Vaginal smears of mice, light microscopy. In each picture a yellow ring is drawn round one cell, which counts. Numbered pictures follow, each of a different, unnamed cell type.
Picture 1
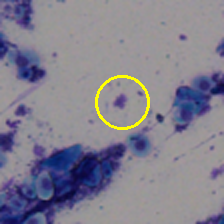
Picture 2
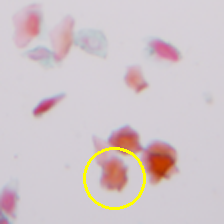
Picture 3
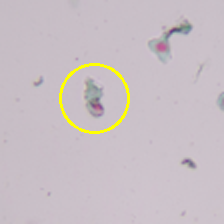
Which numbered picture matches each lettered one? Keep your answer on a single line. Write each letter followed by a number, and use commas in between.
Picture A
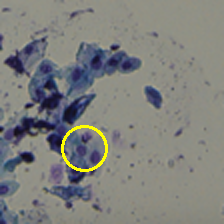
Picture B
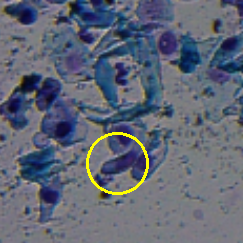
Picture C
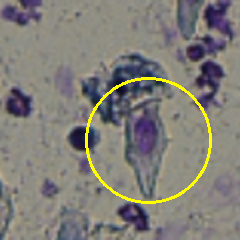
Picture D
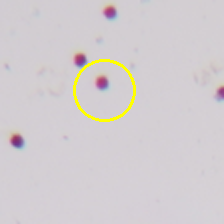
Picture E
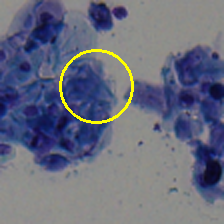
A 3, B 3, C 3, D 1, E 2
